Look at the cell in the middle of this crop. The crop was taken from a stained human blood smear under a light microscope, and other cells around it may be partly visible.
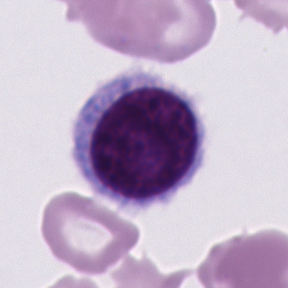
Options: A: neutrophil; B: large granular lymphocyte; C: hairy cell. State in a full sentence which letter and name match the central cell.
The cell positioned centrally is a hairy cell, as given in option C, which is correct.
